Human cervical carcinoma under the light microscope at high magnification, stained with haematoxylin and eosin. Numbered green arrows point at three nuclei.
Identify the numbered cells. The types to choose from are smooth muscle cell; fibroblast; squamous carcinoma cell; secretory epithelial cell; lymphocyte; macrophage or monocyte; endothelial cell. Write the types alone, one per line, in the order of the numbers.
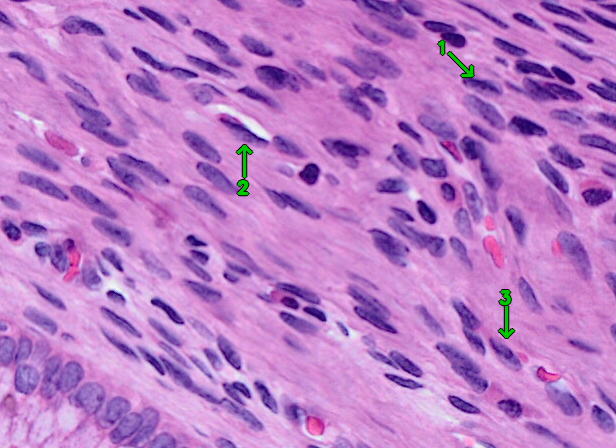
fibroblast
endothelial cell
endothelial cell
